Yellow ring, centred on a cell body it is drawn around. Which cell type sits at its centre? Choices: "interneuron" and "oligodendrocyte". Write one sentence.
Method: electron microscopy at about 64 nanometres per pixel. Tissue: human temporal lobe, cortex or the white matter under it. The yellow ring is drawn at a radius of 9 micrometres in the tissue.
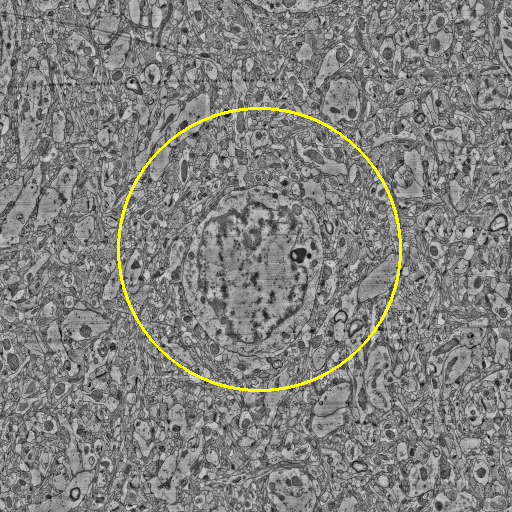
At the centre of the ring sits an interneuron.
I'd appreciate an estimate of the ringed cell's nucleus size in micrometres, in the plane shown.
In this plane the nucleus is about 8 micrometres across.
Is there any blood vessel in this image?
No, none appears.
